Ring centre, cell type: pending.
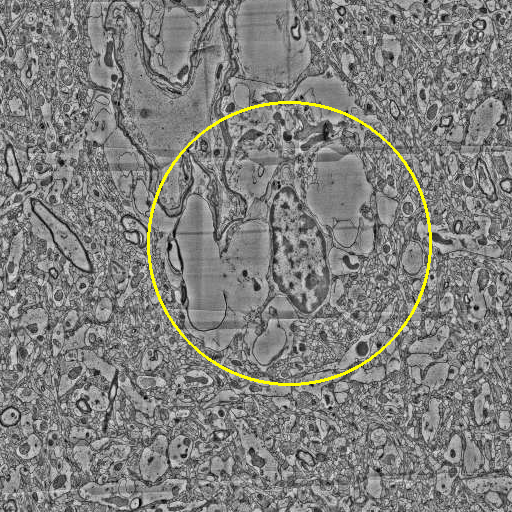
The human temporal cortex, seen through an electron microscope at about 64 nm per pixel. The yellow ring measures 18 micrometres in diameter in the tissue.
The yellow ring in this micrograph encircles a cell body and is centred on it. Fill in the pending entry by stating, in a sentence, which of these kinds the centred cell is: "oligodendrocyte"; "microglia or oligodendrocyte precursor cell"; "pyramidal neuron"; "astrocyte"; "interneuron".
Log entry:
The centred cell is recorded as a microglial cell or oligodendrocyte precursor cell.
